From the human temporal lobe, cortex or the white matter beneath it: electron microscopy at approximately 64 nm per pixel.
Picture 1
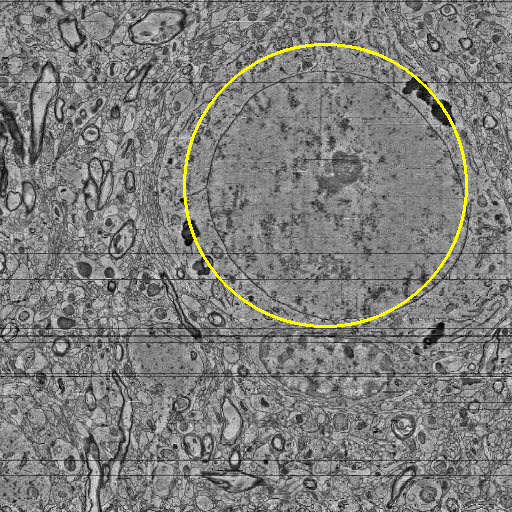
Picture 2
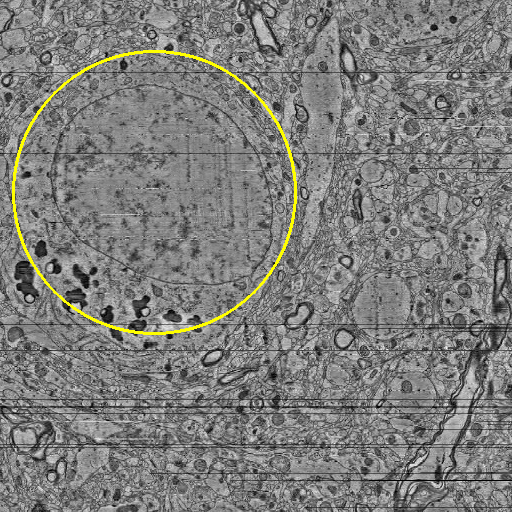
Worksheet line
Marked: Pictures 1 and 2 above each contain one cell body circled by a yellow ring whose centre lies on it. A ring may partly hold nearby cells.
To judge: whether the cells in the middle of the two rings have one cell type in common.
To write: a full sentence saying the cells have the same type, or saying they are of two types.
The cells in the middle of the rings in Picture 1 and Picture 2 have the same type.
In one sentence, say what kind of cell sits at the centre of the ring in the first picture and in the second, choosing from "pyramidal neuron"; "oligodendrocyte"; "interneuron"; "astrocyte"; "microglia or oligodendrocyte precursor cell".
Both rings mark a pyramidal neuron, one in each picture.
